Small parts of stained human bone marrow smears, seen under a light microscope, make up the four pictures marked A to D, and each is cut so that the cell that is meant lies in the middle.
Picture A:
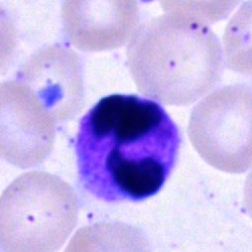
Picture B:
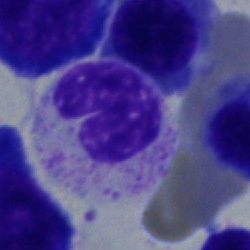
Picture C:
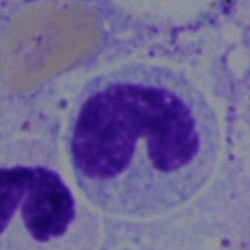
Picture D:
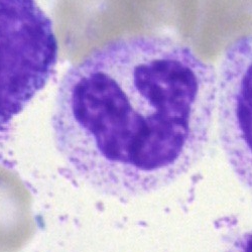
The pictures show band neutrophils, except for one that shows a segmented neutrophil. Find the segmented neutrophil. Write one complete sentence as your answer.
Picture A shows the segmented neutrophil.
